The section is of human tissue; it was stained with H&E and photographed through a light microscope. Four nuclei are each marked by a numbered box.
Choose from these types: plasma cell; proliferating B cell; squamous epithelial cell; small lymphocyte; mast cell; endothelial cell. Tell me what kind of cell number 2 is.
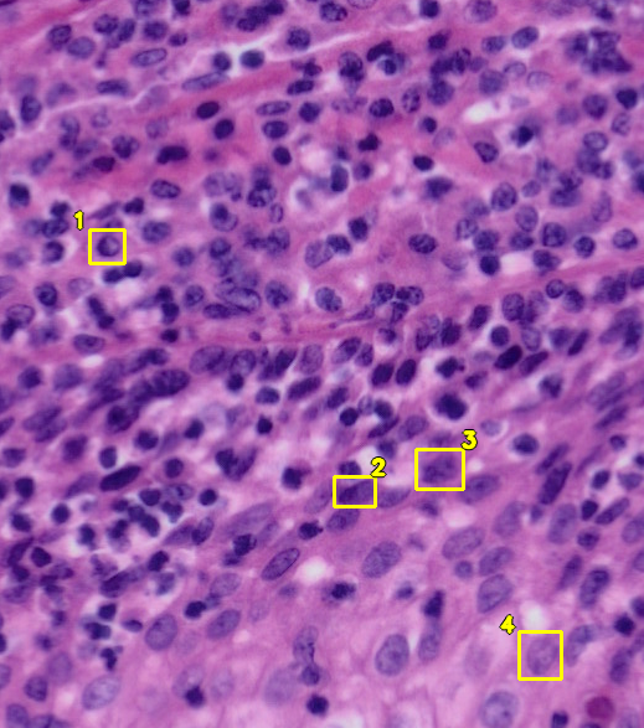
squamous epithelial cell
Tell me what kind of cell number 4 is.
squamous epithelial cell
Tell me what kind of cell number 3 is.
squamous epithelial cell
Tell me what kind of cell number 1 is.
plasma cell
